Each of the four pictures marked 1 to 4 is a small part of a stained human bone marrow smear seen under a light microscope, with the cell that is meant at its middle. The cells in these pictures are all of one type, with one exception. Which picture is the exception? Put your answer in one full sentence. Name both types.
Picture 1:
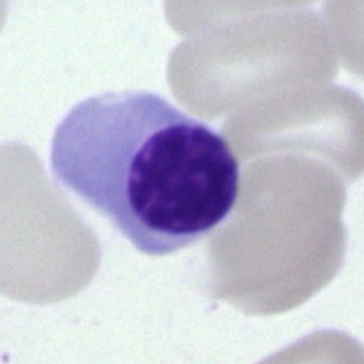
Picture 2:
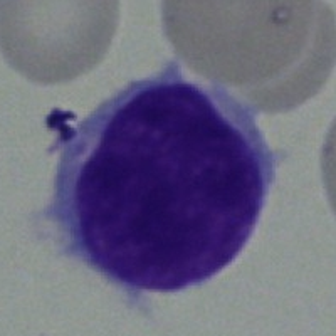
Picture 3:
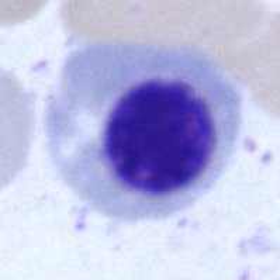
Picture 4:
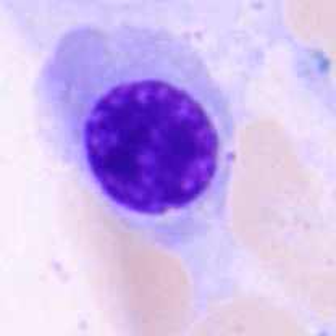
The others show erythroblasts, but picture 2 shows a lymphocyte.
